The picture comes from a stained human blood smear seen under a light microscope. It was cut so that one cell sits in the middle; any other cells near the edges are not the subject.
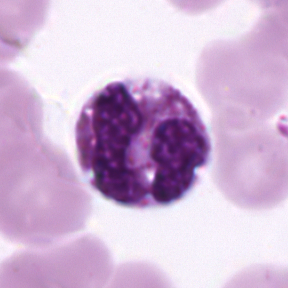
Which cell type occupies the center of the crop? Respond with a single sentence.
The cell occupying the middle of the crop is an eosinophil.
